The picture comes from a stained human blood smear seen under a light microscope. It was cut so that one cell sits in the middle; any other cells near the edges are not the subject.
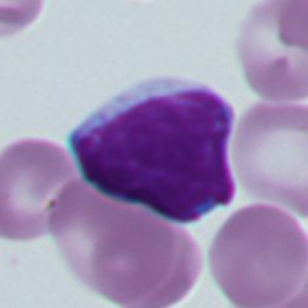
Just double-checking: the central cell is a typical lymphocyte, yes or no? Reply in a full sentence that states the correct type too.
Yes, in this crop the cell in the middle is a typical lymphocyte.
